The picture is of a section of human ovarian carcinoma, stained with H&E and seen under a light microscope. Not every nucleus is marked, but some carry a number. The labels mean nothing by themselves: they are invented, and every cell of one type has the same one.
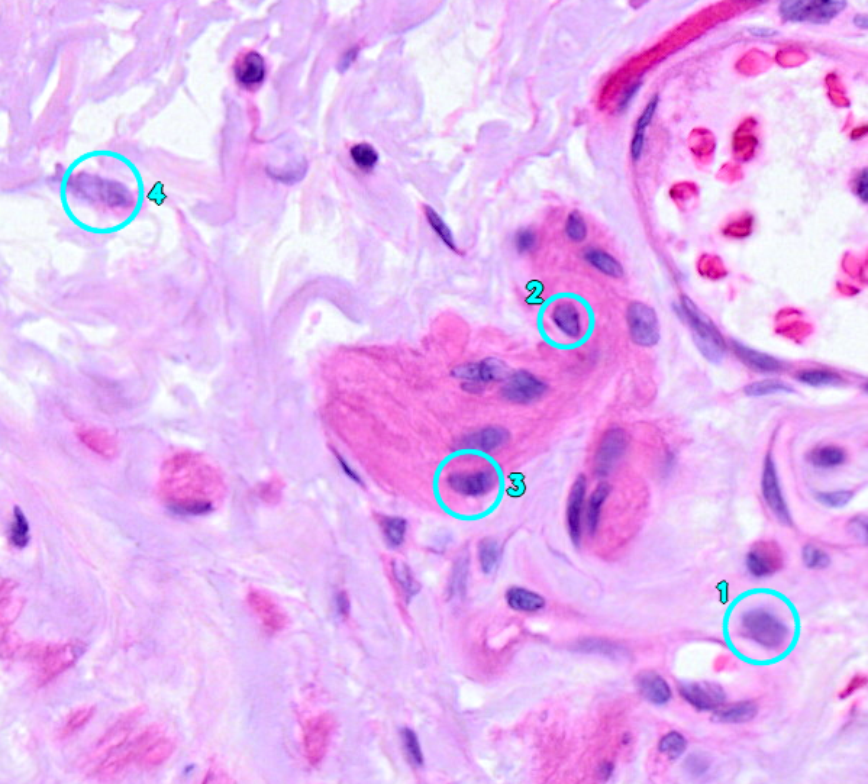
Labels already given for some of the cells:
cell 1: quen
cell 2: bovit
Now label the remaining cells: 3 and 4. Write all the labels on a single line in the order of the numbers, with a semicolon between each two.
bovit; quen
